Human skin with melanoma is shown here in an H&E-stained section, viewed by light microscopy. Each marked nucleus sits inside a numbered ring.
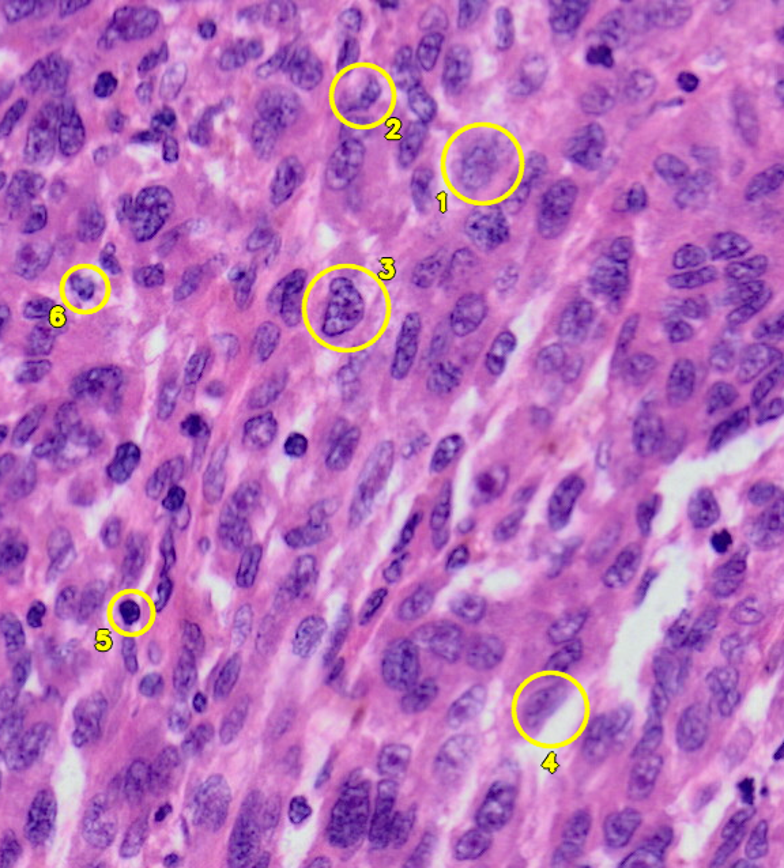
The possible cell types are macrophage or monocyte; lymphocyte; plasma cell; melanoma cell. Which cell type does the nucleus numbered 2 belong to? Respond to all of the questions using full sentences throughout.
At number 2, the marked cell is a melanoma cell.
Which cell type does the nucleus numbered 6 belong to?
The cell marked with the number 6 is a lymphocyte.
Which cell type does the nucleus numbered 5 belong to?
What the number 5 marks in this field is a lymphocyte.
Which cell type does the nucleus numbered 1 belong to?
The one numbered 1 among the marked cells is a melanoma cell.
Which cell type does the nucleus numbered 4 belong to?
Corresponding to a melanoma cell is the cell labelled 4.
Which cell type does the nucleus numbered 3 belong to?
To a melanoma cell belongs the nucleus marked 3.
